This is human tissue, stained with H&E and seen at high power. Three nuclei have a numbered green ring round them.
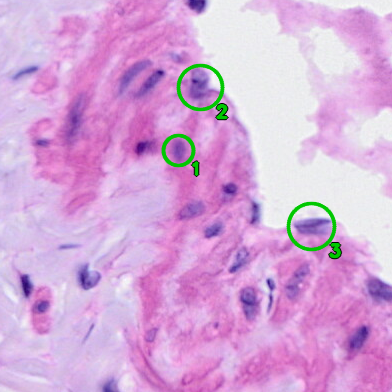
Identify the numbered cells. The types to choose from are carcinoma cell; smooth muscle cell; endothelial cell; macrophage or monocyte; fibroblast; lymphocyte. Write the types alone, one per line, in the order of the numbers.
smooth muscle cell
endothelial cell
endothelial cell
